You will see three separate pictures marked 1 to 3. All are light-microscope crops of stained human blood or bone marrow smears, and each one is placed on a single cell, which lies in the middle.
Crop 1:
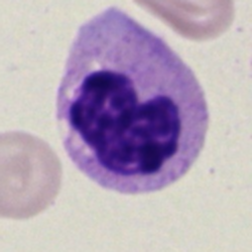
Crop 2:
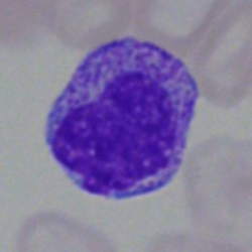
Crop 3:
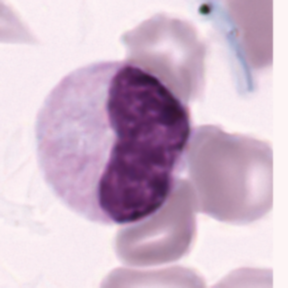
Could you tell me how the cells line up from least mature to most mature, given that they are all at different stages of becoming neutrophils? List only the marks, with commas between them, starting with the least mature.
2, 3, 1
